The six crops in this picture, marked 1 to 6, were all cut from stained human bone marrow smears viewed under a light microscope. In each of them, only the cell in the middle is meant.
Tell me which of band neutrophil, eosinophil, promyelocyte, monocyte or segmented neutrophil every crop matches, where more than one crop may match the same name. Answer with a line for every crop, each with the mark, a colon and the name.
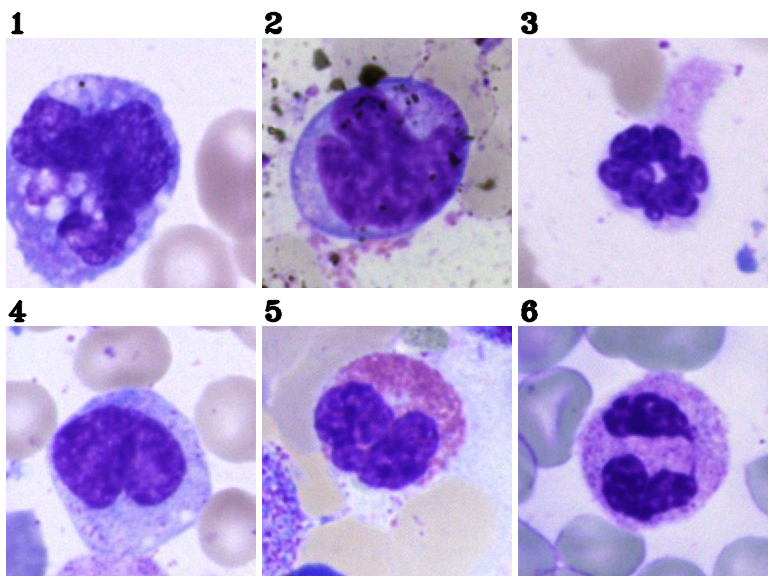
1: monocyte
2: monocyte
3: segmented neutrophil
4: monocyte
5: eosinophil
6: segmented neutrophil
